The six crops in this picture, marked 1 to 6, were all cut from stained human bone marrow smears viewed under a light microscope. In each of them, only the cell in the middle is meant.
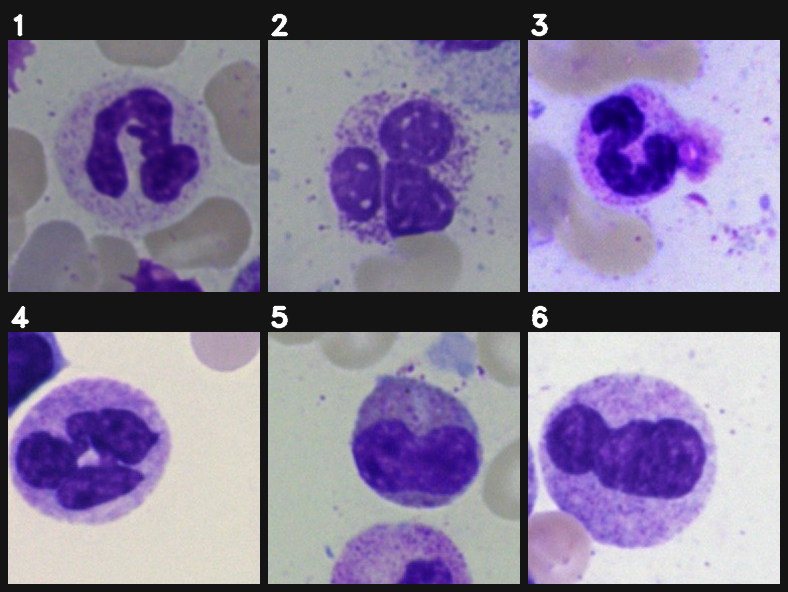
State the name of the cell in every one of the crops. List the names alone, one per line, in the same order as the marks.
segmented neutrophil
segmented neutrophil
segmented neutrophil
segmented neutrophil
eosinophil
band neutrophil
